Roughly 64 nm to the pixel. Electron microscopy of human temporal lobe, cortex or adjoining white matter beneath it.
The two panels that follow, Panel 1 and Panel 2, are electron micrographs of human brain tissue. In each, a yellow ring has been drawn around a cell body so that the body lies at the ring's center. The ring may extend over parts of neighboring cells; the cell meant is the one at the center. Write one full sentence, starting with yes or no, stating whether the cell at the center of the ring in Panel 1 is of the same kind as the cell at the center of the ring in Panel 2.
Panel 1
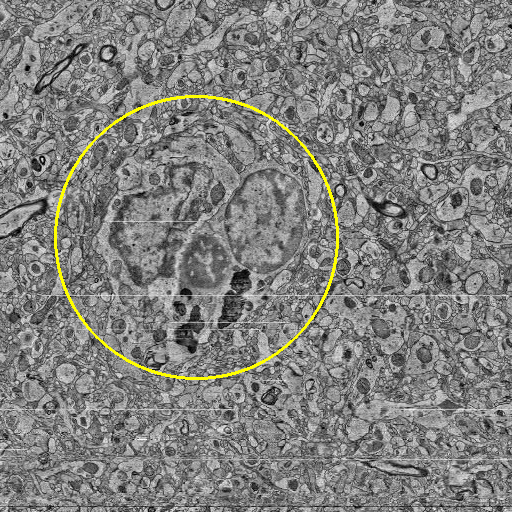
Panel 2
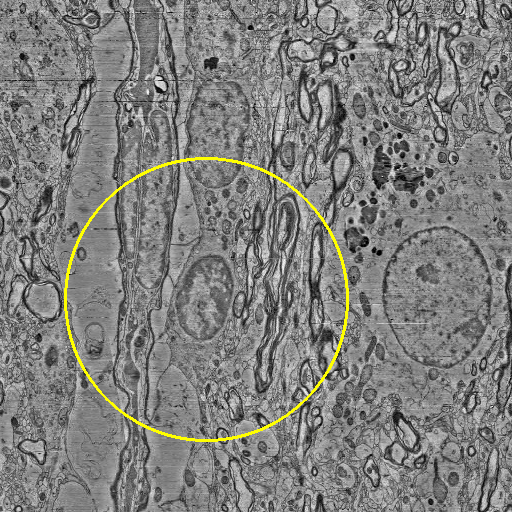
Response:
Yes, the cells in both panels are of the same kind.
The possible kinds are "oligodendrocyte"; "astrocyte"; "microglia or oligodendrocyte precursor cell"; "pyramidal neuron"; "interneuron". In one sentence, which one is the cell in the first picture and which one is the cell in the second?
Both the first and the second picture show an oligodendrocyte in the ring.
